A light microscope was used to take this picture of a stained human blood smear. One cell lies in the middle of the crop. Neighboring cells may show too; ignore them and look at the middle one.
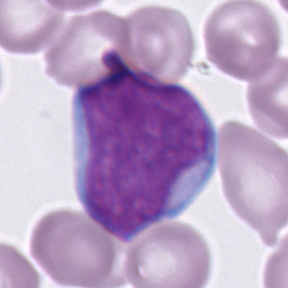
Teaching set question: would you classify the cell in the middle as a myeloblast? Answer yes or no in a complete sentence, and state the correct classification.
Yes, the identity of the central cell is that of a myeloblast.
